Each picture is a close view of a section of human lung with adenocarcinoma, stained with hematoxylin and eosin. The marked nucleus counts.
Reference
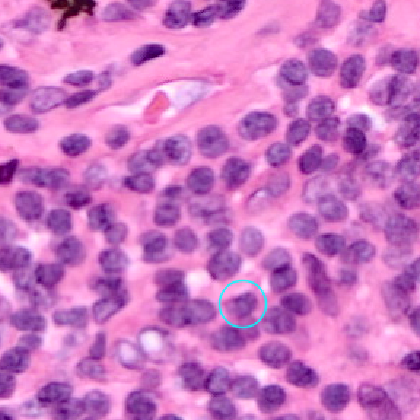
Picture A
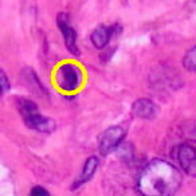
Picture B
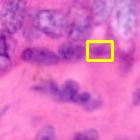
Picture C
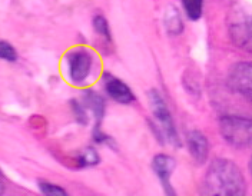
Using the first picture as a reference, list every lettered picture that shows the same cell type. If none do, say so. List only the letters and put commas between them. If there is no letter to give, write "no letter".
no letter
